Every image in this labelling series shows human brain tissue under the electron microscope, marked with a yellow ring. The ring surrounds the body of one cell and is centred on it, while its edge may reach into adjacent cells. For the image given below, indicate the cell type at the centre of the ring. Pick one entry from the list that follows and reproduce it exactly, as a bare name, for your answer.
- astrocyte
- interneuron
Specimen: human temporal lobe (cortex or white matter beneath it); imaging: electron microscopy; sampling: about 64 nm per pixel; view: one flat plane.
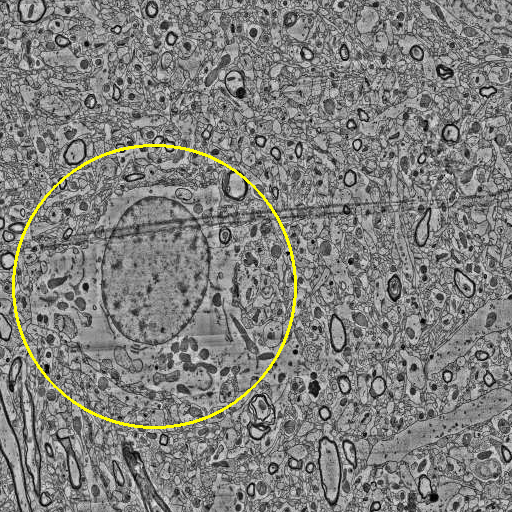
astrocyte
